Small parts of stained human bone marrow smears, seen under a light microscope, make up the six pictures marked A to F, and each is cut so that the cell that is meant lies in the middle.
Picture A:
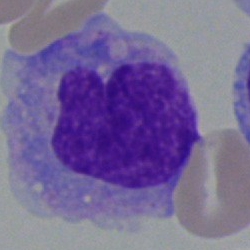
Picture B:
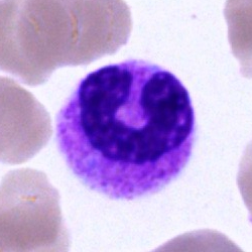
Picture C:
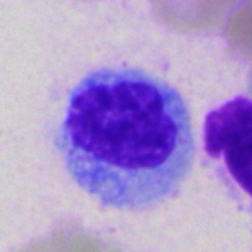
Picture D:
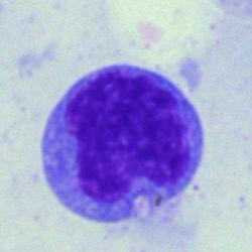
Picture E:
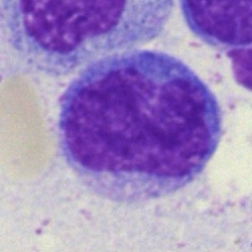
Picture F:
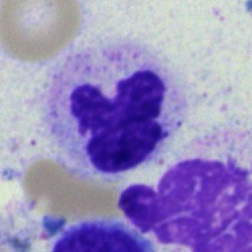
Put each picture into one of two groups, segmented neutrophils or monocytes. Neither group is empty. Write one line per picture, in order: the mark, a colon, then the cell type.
A: monocyte
B: segmented neutrophil
C: monocyte
D: monocyte
E: monocyte
F: segmented neutrophil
